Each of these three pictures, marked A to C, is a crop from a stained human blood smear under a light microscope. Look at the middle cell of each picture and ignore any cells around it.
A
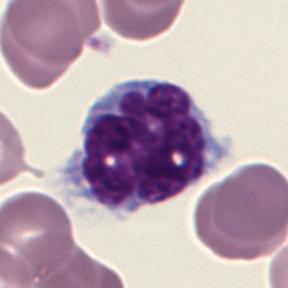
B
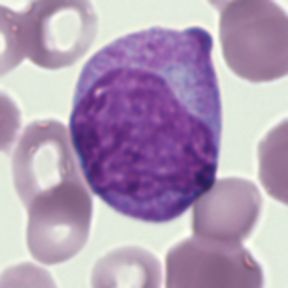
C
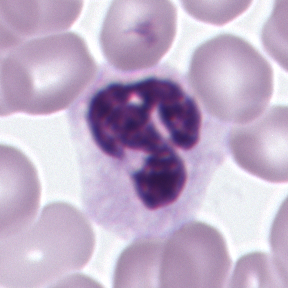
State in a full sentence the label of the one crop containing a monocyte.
Identified crop: A, the one that shows a monocyte.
